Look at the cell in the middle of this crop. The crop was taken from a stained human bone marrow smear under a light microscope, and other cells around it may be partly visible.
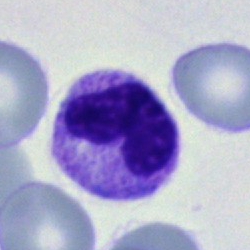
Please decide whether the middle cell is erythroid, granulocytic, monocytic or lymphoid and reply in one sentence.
The cell at the center of this crop is categorized as granulocytic in lineage.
